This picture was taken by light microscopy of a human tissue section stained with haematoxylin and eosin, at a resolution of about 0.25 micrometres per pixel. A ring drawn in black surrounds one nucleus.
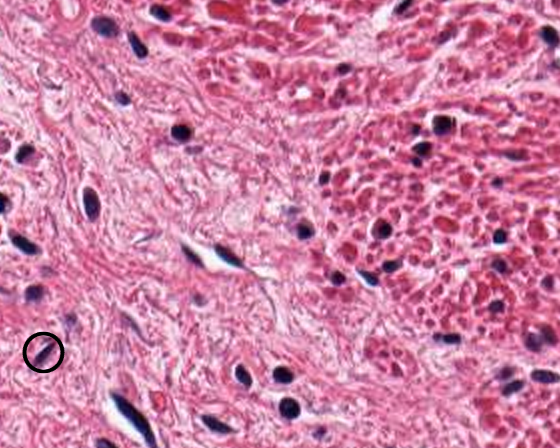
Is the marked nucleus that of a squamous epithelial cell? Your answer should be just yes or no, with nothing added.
no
